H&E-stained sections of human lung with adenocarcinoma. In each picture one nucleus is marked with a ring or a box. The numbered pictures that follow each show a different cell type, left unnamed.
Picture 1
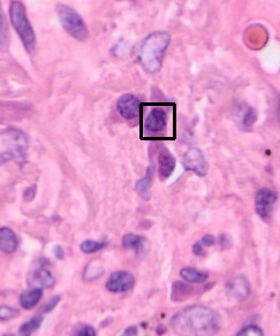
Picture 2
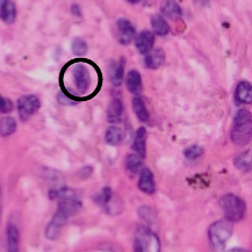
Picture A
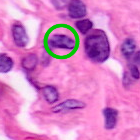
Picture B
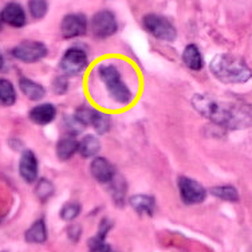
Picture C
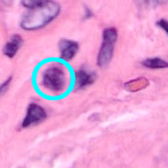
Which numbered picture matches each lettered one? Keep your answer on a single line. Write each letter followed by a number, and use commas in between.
A 2, B 2, C 1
